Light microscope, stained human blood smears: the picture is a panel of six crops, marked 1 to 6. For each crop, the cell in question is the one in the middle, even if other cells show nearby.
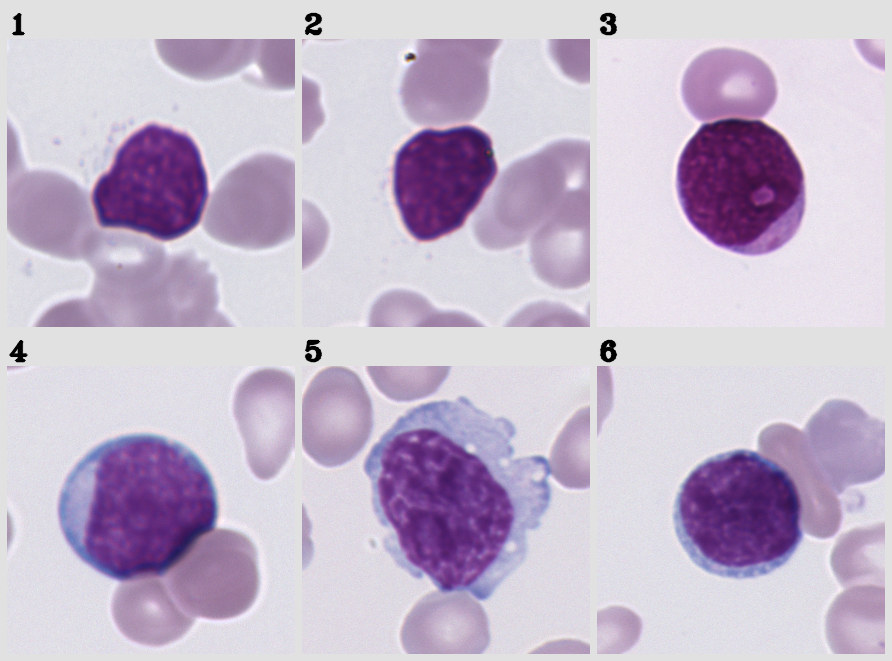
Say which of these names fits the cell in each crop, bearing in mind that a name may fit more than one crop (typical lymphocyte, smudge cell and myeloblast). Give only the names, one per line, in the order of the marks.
smudge cell
smudge cell
myeloblast
myeloblast
myeloblast
typical lymphocyte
